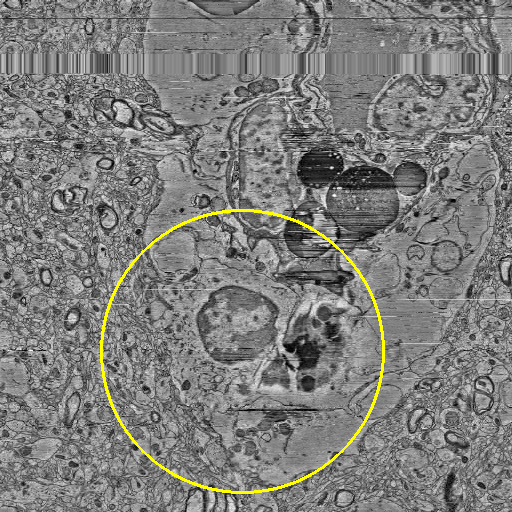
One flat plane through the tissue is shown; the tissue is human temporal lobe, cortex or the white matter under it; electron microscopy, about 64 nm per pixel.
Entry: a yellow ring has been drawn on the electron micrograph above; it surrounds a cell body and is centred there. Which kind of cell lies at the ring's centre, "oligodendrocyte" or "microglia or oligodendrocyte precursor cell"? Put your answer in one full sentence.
The cell sitting at the ring's centre is a microglial cell or oligodendrocyte precursor cell in the micrograph above.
